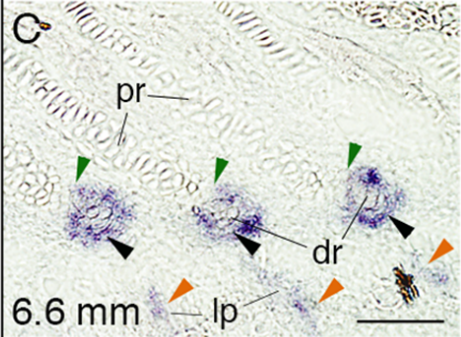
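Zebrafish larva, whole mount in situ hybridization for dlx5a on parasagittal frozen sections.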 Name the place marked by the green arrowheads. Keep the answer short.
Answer: Zone of segmentation.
